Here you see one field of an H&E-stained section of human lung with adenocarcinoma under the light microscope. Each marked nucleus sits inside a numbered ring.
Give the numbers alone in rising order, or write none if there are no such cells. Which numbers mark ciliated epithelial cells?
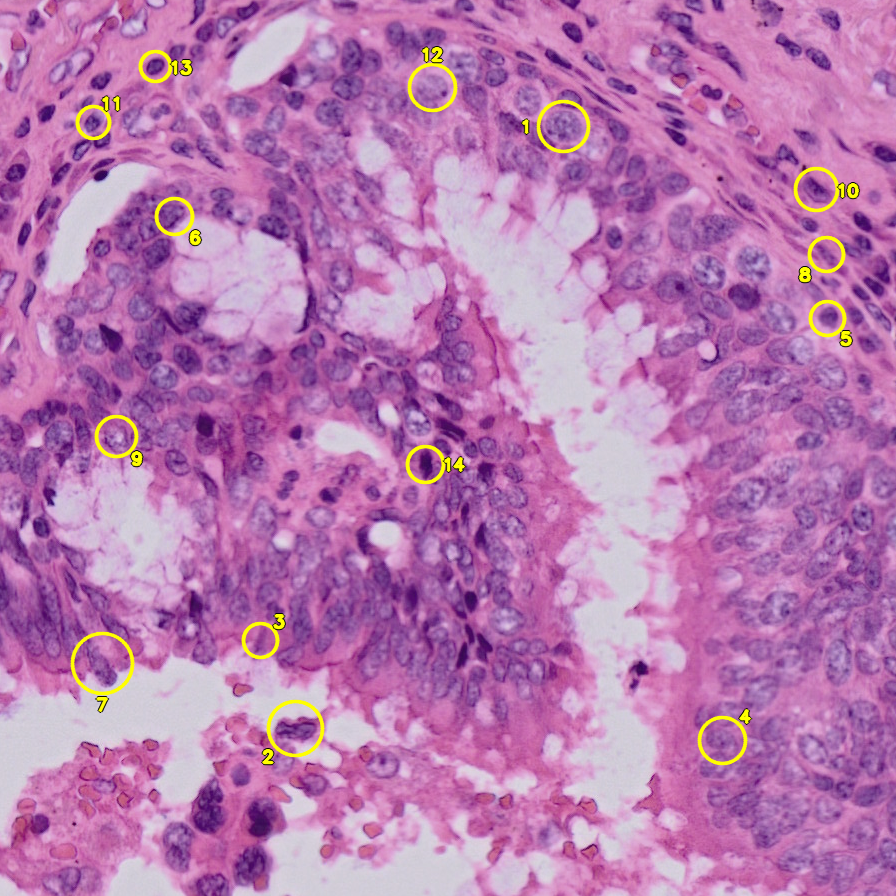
1, 3, 4, 6, 7, 9, 12, 14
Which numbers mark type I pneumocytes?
none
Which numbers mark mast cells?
13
